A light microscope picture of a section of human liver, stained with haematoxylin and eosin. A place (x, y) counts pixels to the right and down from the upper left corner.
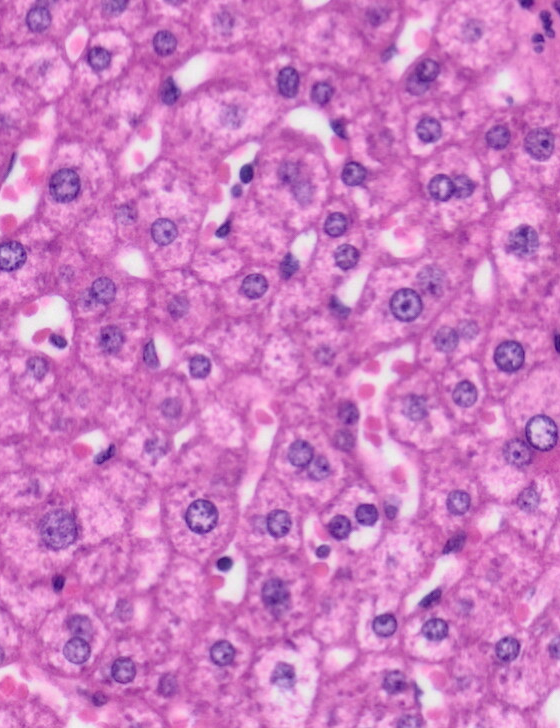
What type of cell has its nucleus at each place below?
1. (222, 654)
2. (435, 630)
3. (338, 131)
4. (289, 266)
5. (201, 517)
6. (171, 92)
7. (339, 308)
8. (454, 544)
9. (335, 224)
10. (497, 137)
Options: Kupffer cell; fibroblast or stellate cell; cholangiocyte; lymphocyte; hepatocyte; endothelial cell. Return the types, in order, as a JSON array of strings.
["hepatocyte", "hepatocyte", "endothelial cell", "endothelial cell", "hepatocyte", "endothelial cell", "endothelial cell", "endothelial cell", "hepatocyte", "hepatocyte"]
